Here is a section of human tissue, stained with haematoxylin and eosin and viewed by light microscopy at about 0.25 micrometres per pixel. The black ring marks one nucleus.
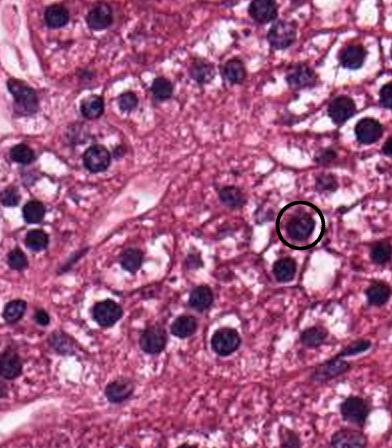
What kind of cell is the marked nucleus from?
adrenal cortical cell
